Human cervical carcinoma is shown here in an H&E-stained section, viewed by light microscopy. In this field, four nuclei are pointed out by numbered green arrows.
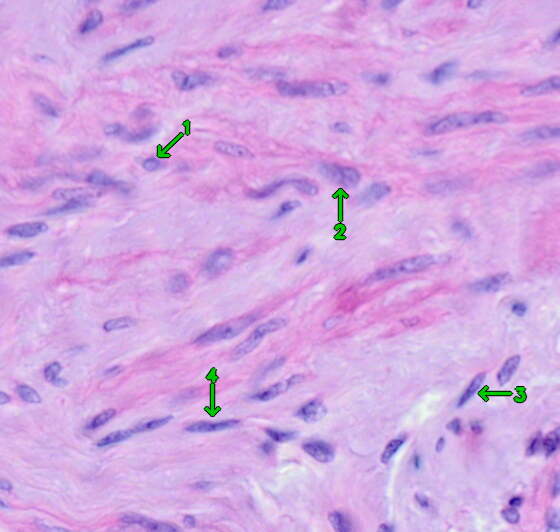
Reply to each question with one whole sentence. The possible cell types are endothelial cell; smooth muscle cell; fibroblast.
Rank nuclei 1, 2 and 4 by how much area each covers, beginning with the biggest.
Going from the biggest nucleus down to the smallest gives 2, 4, 1.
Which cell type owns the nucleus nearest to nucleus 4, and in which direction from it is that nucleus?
A smooth muscle cell lies closest, above and to the left of nucleus 4.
